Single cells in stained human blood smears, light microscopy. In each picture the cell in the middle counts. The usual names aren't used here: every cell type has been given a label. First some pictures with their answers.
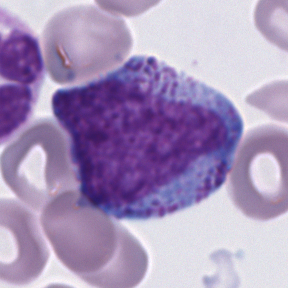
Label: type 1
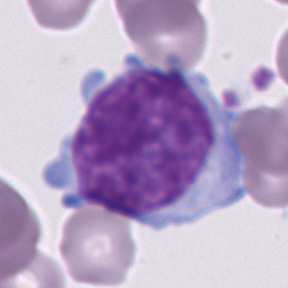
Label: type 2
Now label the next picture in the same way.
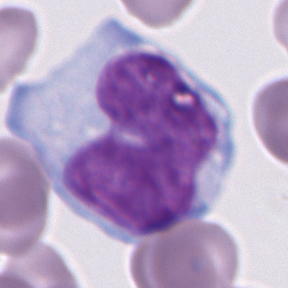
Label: type 2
